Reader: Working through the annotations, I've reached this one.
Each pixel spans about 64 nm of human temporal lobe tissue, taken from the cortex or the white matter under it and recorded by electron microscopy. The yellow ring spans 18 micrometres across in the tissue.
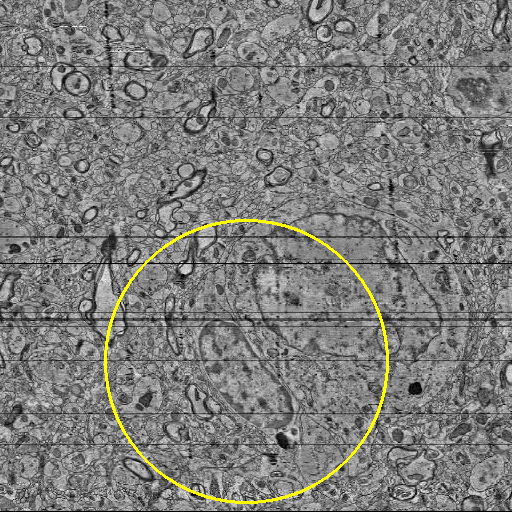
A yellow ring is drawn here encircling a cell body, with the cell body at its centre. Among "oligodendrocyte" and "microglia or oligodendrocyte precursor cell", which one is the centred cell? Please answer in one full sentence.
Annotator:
The cell body at the centre of the yellow ring in this image belongs to a microglial cell or oligodendrocyte precursor cell.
